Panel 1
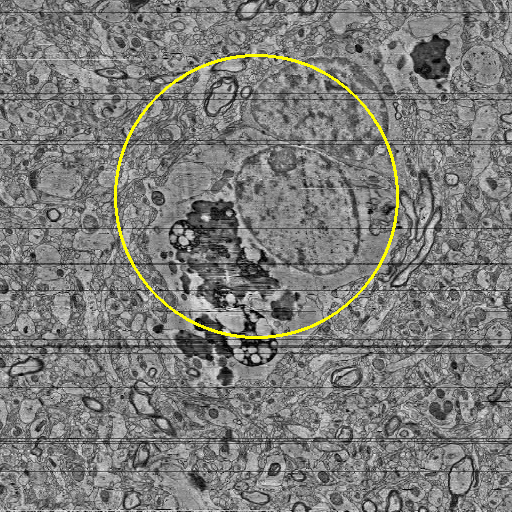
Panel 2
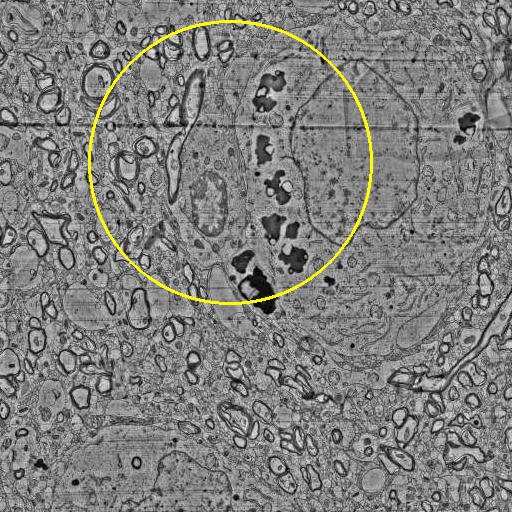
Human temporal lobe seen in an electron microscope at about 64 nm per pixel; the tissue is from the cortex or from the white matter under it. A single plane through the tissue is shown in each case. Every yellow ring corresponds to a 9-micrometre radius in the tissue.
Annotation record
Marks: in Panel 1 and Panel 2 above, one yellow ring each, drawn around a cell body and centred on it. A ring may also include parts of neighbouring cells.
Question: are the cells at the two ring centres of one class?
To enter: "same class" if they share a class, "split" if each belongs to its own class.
split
